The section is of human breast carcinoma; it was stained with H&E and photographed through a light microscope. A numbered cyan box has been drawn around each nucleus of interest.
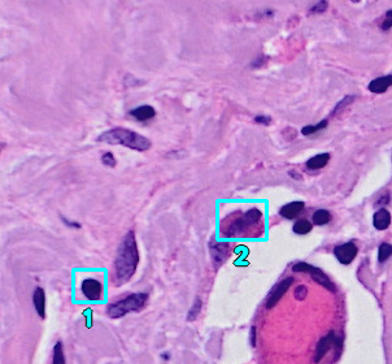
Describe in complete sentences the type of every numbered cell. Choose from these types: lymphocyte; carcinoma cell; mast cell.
Cell 1 is a lymphocyte and cell 2 is a mast cell.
